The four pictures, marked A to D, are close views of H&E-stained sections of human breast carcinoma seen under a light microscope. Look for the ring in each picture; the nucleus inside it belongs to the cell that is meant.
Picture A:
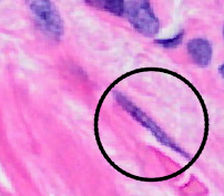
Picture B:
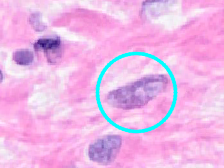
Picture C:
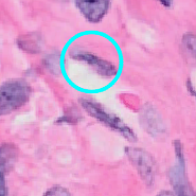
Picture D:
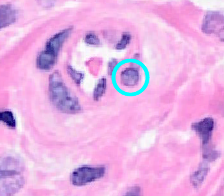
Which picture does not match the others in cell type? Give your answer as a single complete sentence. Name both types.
Unlike the rest, which show endothelial cells, picture B shows a fibroblast.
